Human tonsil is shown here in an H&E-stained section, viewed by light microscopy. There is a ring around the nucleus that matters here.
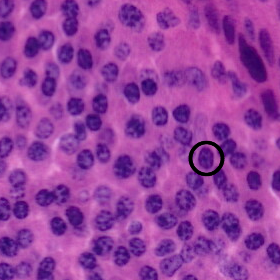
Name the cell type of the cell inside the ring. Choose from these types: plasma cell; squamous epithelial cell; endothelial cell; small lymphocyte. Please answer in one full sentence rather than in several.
Cytologically, the cell inside the ring is to be regarded as a plasma cell.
